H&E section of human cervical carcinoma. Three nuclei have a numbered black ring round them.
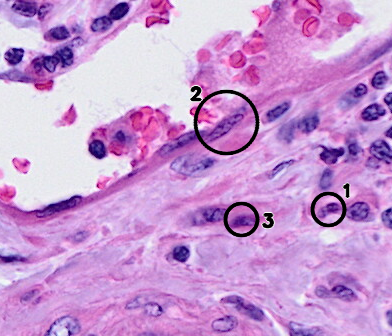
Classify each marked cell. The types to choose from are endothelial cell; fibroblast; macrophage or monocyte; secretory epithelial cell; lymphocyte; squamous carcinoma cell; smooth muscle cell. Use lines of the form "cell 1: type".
cell 1: macrophage or monocyte
cell 2: endothelial cell
cell 3: smooth muscle cell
